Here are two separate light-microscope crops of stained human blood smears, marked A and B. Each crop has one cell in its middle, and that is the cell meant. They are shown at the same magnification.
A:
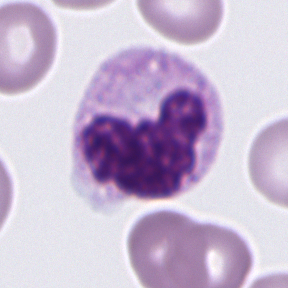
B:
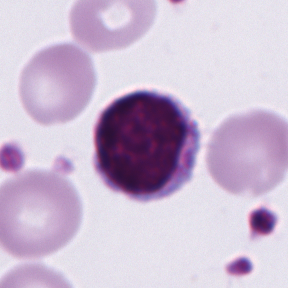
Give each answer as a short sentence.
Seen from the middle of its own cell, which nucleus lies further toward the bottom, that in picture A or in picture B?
It is the nucleus in picture A that lies further toward the bottom of its cell.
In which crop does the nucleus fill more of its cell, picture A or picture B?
In picture B the nucleus takes up the larger part of its cell.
